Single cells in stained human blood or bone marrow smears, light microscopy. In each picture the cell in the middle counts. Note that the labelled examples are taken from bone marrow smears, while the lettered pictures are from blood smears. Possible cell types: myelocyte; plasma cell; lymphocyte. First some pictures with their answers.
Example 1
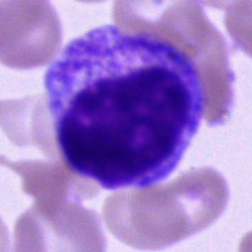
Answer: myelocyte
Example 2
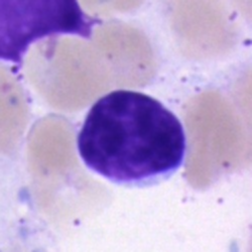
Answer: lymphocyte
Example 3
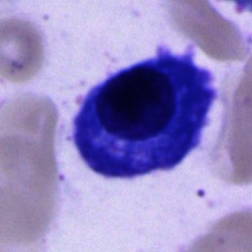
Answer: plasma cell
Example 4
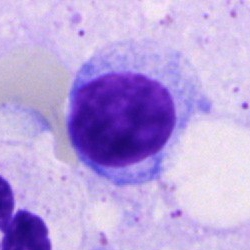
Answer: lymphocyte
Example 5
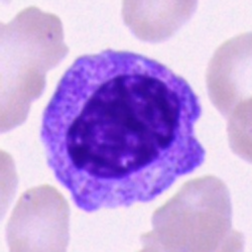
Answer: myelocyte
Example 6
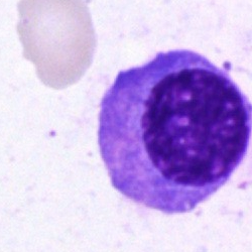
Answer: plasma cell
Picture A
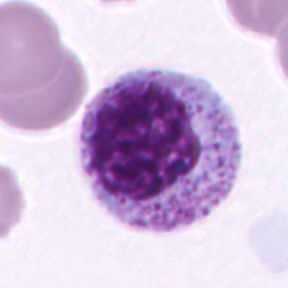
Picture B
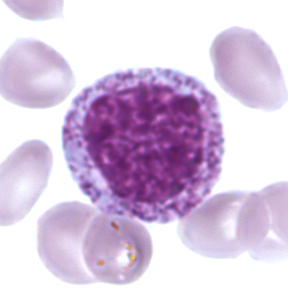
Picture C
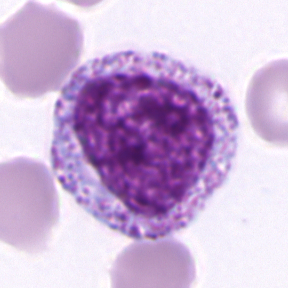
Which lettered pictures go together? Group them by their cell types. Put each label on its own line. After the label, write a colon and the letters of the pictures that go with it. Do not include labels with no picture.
myelocyte: A, B, C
